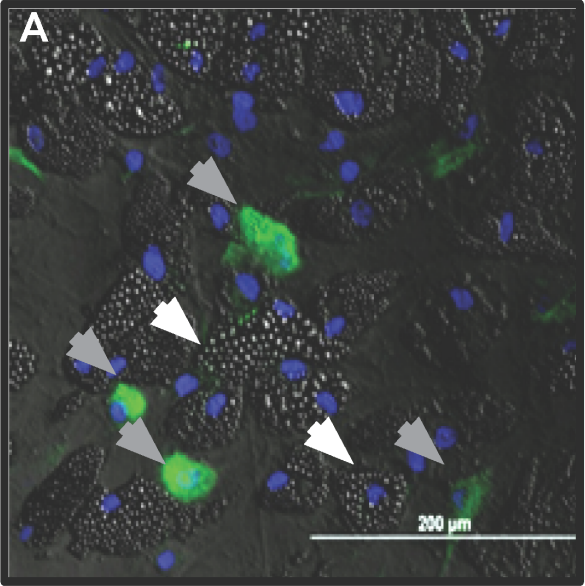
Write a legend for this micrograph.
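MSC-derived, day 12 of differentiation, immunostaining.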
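Cultured adipocytes seen as a fluorescence image laid over a contrast image, in two kinds. Many cells form oval bodies packed with numerous small, bright, refractile lipid vacuoles, clustered side by side across the field, each with a blue nucleus at the edge or among them. Between them lie cells without such vacuoles; several of these are rounded or irregular and their cytoplasm is filled with bright green label, around a blue nucleus. Fainter green, thin elongated extensions run between the vacuole-filled cells. The green label lies in the cells without vacuoles, not in those packed with lipid.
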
